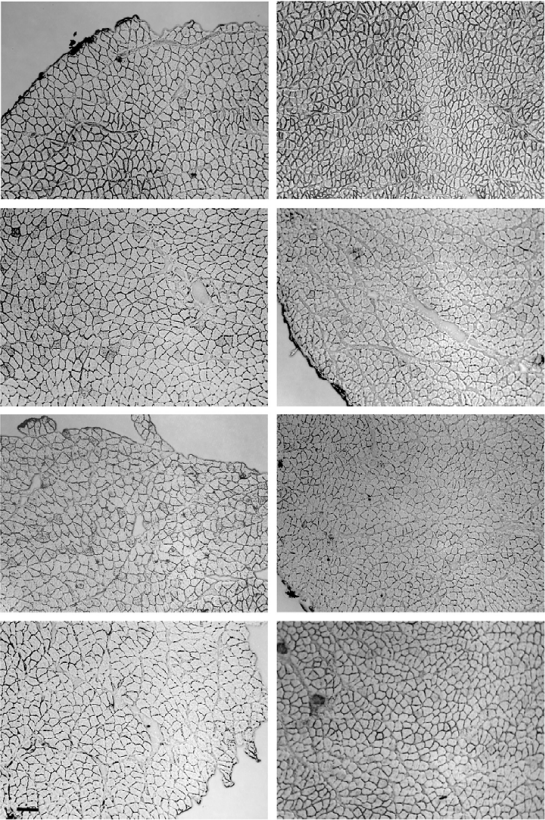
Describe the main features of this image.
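A grid of eight grayscale cross-sections of skeletal muscle, each showing many muscle fibers cut transversely. Each fiber appears as a pale polygonal profile bounded by a thin dark outline, and the fibers are packed tightly against one another in a mosaic with little space between them. Thin pale strands of connective tissue run through the sections, dividing the fibers into loose groups. Some sections show the cut edge of the muscle along one side. In the right-hand images the polygonal profiles generally look somewhat smaller and more densely packed than in the left-hand images.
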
